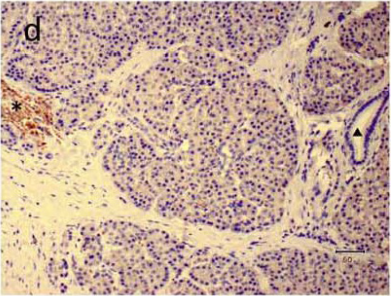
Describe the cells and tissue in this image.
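This is normal pancreas, made mostly of lobules of acinar cells. The acinar cells are packed into small round clusters, with blue nuclei and a faint brownish tint in their cytoplasm. Thin pale bands of connective tissue separate the lobules. On the right, a small duct is lined by a single layer of low epithelial cells that stay unstained. At the left edge, a cluster of red blood cells is stained a stronger reddish brown.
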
